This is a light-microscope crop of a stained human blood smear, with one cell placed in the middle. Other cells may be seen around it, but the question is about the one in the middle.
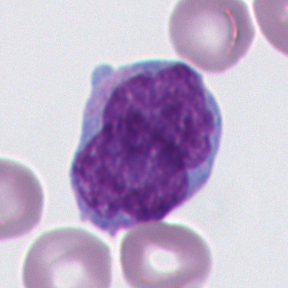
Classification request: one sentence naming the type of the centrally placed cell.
The central cell shown in this smear crop is an atypical promyelocyte.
